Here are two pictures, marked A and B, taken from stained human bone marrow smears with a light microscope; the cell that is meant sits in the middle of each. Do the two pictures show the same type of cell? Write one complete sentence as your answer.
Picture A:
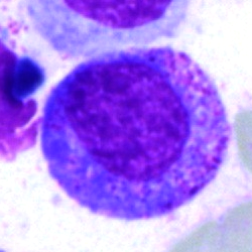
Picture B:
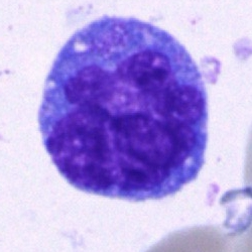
No. Picture A shows a promyelocyte, but picture B shows a monocyte.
